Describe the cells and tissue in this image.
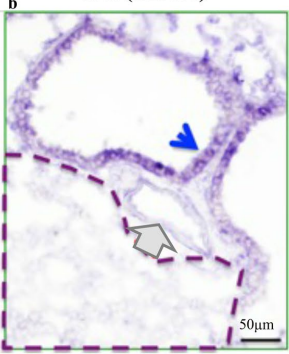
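A lung section with a large airway at the top whose epithelial lining is strongly purple: a thick, densely cellular layer of closely packed cells encircling the open lumen. Below and to the right, a thin-walled structure lies beside the airway and stays pale, and the lower region, enclosed by a dashed line, is delicate lace-like alveolar tissue with small air spaces and only faint colour. The contrast between the dark airway lining and the pale neighbouring vessel wall and alveoli is the main thing to see.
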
